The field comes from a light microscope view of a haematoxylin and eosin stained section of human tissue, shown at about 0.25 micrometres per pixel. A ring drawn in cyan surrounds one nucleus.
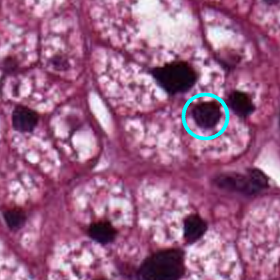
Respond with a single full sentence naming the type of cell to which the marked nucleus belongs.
The nucleus singled out by the mark belongs to an adrenal cortical cell.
